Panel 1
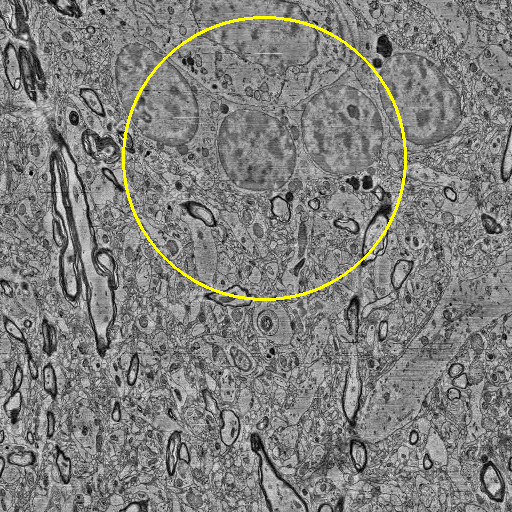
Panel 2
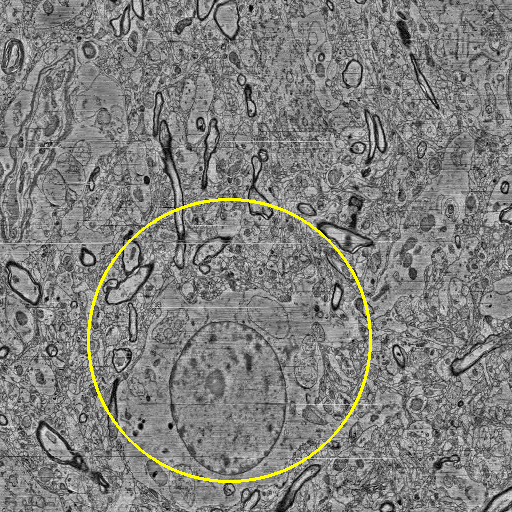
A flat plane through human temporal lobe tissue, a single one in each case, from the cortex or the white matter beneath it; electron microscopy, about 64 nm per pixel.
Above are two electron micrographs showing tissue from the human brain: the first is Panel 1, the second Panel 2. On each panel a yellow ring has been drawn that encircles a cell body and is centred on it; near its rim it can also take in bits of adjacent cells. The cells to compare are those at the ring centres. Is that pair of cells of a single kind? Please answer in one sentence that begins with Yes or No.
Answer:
No, the ring-centred cells of Panel 1 and Panel 2 belong to two kinds.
